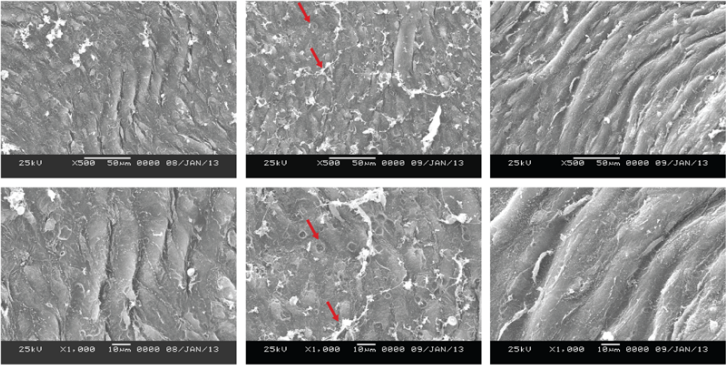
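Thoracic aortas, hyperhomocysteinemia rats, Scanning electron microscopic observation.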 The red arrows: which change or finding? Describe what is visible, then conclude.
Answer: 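In the middle column the luminal surface is irregular rather than smoothly aligned. Bright, strand-like deposits spread over the surface in the middle column.
Conclusion: damaged endothelial cells and fibrin-like material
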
